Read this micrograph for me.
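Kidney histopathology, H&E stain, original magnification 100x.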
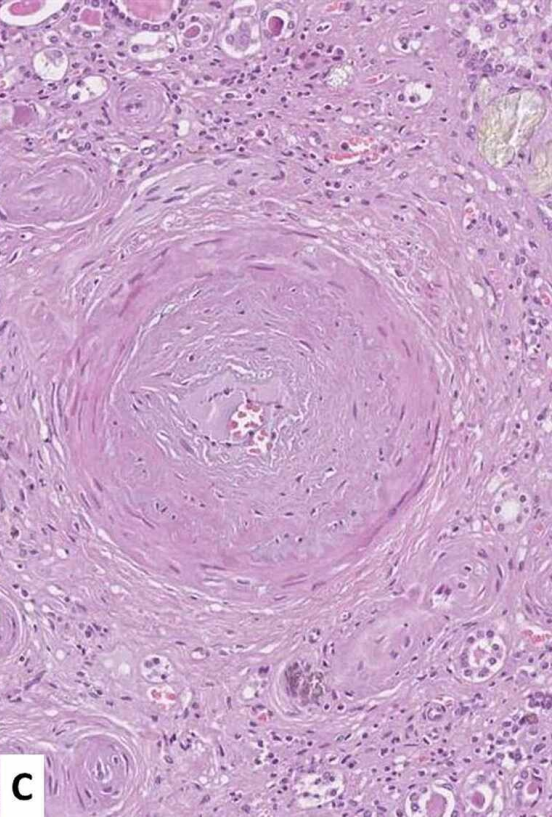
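Renal cortex with a small artery whose wall is greatly thickened by concentric, onion-skin layers of pale pink fibrous tissue with scattered spindle-shaped nuclei. The lumen is reduced to a narrow slit holding a few red blood cells. Around the vessel the interstitium is widened and fibrous, with sparse scattered inflammatory cells. Atrophic tubules with small lumens lie in the surrounding tissue.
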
